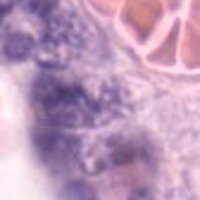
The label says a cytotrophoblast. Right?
Right.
